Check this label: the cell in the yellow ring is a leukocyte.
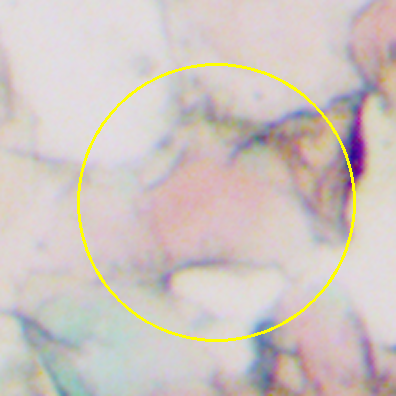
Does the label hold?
The label does not hold; the cell is a cornified epithelial cell.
